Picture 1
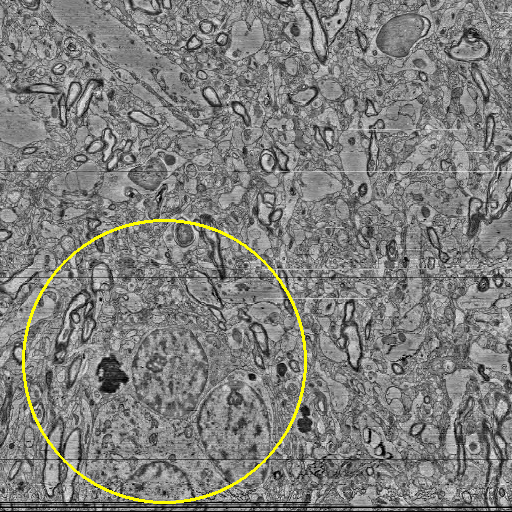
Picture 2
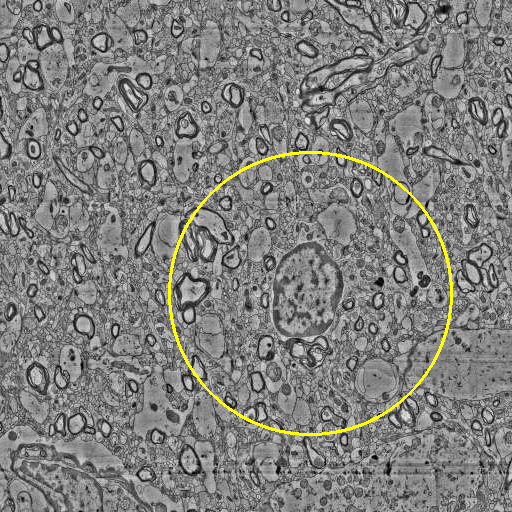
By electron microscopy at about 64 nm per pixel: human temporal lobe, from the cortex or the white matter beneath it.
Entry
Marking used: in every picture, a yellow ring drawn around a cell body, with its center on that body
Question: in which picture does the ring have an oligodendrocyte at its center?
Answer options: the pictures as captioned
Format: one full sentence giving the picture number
Picture 1 is where the ring's center falls on the requested cell.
